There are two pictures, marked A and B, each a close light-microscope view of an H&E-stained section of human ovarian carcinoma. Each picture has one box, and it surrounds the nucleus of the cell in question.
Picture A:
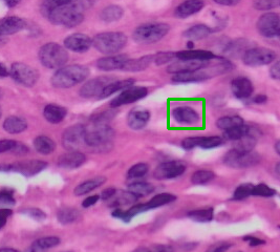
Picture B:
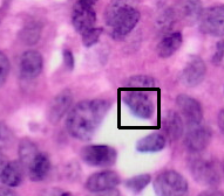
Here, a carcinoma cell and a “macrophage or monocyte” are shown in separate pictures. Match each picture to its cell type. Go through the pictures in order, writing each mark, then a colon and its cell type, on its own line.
A: macrophage or monocyte
B: carcinoma cell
